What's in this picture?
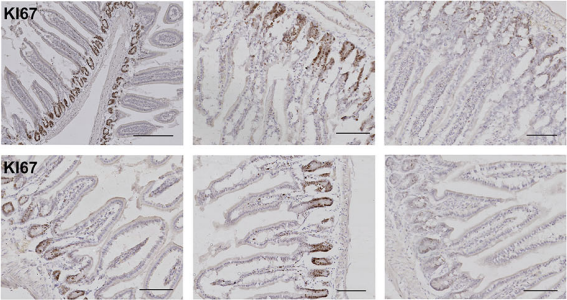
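These are sections of small intestine, with slender villi covered by a single epithelial layer and crypts lying at their base. In the left and middle columns, brown nuclear staining is concentrated in the crypts and the lowest part of the villi, leaving the upper villus epithelium pale. In the right column the crypt staining is much weaker and sparse, so that most of the tissue shows only the pale blue counterstain.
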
